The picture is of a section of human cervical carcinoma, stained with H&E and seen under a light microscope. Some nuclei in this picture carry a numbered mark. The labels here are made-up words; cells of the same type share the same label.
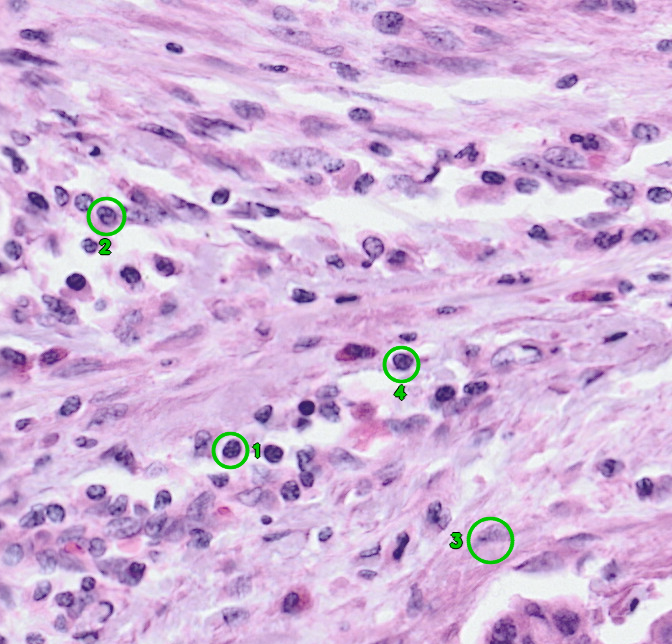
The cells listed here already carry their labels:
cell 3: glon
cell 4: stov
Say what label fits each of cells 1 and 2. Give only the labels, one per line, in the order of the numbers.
stov
stov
